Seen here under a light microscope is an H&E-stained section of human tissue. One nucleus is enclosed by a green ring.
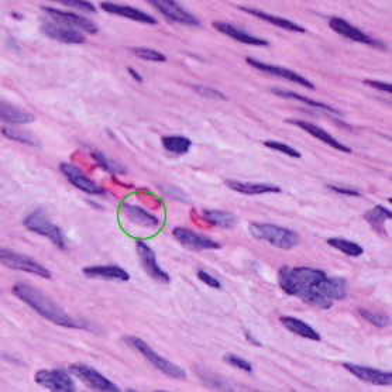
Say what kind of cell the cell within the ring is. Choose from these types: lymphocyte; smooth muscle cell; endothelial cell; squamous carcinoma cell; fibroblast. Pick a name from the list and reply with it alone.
endothelial cell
